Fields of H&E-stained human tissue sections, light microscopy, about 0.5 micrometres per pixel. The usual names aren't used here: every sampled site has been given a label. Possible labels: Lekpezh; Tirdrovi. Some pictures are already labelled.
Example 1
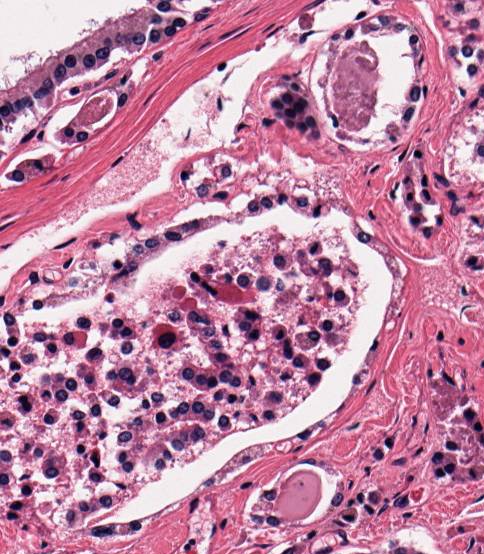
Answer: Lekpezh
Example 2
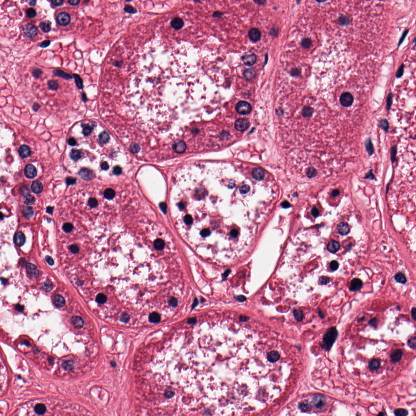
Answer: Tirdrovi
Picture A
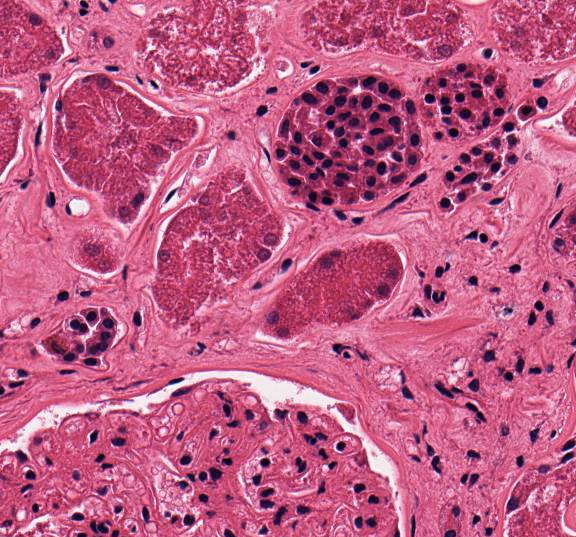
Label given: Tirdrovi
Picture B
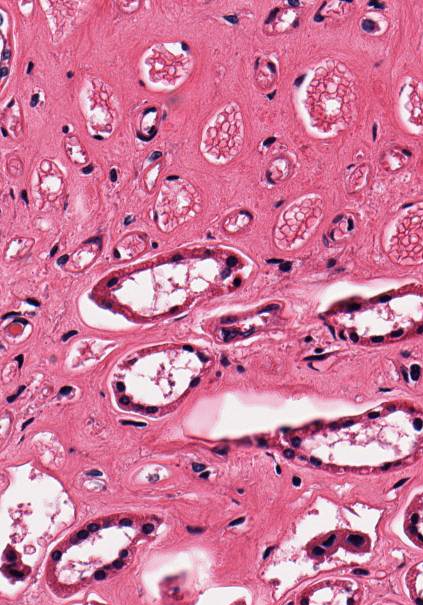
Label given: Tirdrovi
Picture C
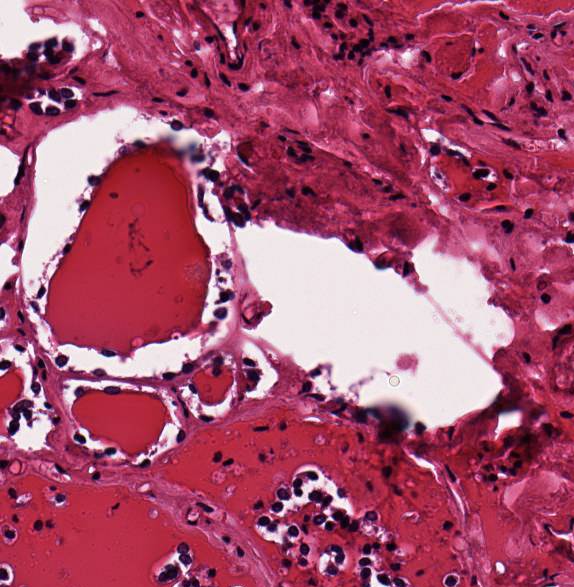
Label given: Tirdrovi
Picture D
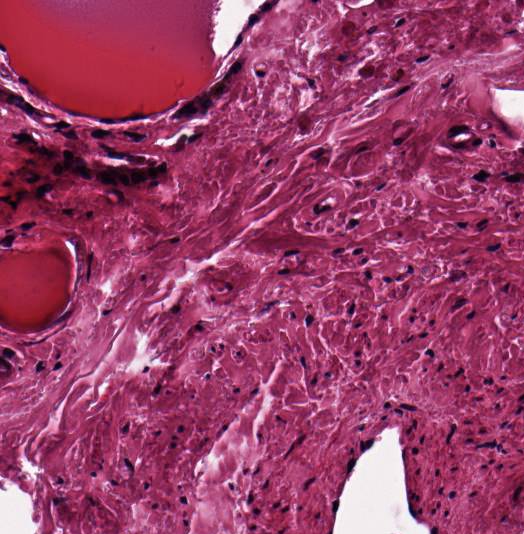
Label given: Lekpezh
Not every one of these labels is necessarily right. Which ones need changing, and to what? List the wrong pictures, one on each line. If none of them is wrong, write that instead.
C: Lekpezh, not Tirdrovi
